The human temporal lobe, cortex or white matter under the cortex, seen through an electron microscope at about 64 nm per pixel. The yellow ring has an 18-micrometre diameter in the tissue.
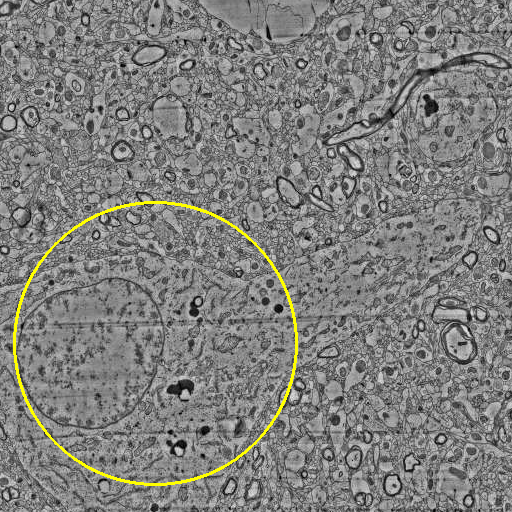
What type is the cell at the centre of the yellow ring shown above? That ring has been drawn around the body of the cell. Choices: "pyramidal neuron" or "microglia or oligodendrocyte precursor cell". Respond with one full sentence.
My answer is that a pyramidal neuron lies at the centre of the yellow ring above.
